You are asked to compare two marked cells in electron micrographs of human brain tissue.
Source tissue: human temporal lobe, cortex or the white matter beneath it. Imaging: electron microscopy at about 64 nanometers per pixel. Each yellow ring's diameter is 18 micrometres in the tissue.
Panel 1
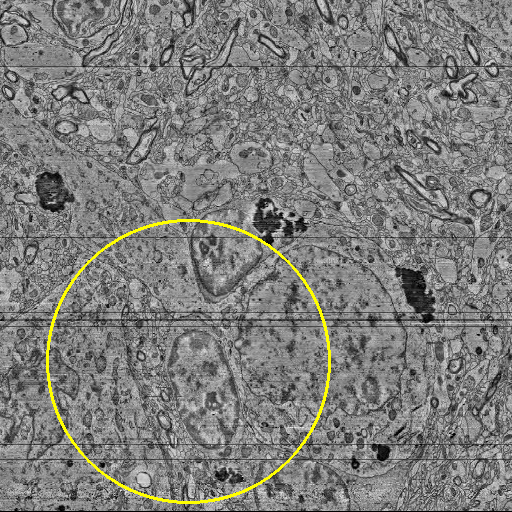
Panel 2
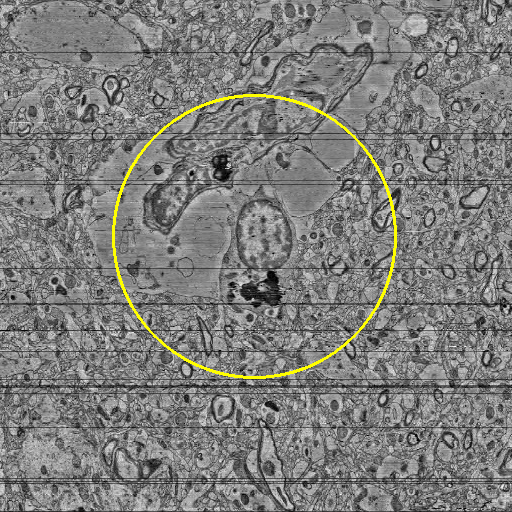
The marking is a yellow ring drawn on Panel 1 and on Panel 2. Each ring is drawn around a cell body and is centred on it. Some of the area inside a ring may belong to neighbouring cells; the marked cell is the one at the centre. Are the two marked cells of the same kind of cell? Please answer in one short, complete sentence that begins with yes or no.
Yes, the two marked cells are of the same kind.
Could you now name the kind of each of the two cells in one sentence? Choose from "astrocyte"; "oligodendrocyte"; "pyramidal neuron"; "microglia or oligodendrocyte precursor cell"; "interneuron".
Both rings mark an oligodendrocyte, one in each picture.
